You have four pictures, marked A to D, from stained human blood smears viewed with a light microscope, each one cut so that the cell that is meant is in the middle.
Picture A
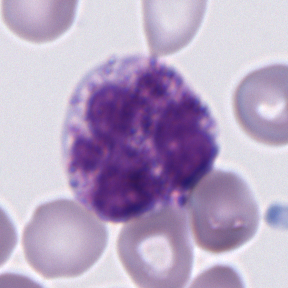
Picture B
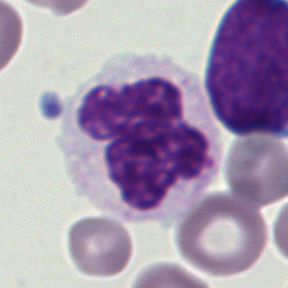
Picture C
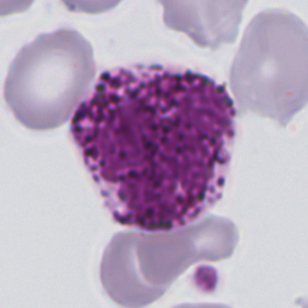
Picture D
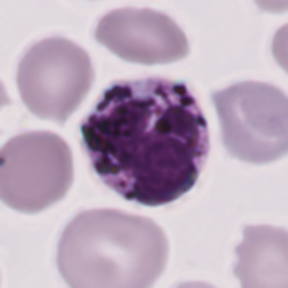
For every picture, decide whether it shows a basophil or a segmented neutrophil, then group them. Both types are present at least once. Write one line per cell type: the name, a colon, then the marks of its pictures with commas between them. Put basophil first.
basophil: A, C, D
segmented neutrophil: B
